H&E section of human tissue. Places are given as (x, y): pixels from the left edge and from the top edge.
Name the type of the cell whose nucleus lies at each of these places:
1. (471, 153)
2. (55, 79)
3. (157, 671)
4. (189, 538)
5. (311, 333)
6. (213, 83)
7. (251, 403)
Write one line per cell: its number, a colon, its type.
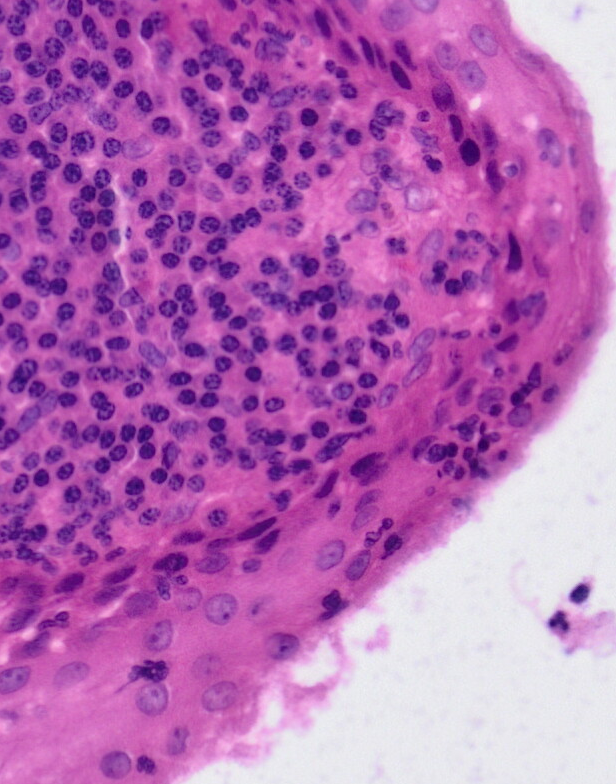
1: squamous epithelial cell
2: plasma cell
3: squamous epithelial cell
4: squamous epithelial cell
5: plasma cell
6: plasma cell
7: plasma cell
